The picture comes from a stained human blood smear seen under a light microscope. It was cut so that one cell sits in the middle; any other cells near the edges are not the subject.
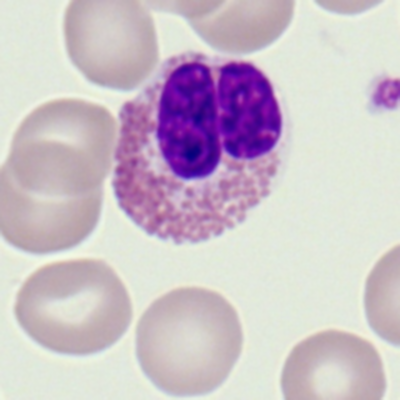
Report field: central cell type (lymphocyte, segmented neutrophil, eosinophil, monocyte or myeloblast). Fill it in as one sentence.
The middle position in this crop is taken by an eosinophil.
